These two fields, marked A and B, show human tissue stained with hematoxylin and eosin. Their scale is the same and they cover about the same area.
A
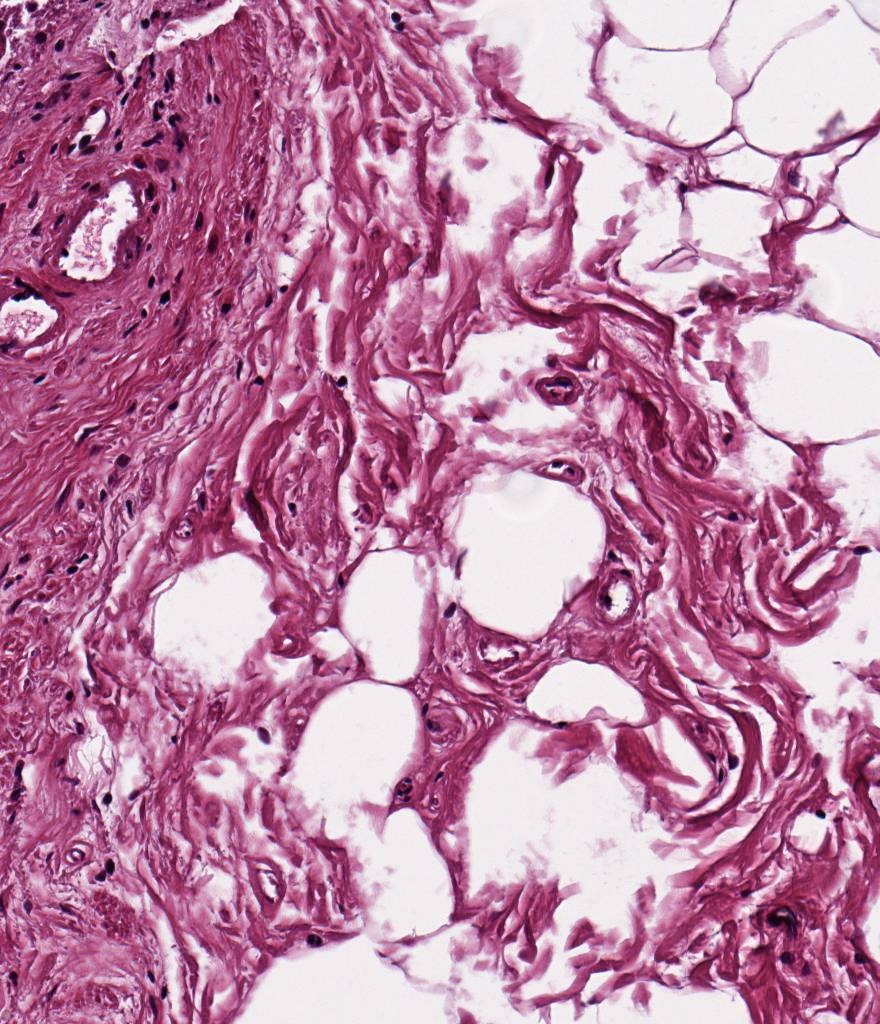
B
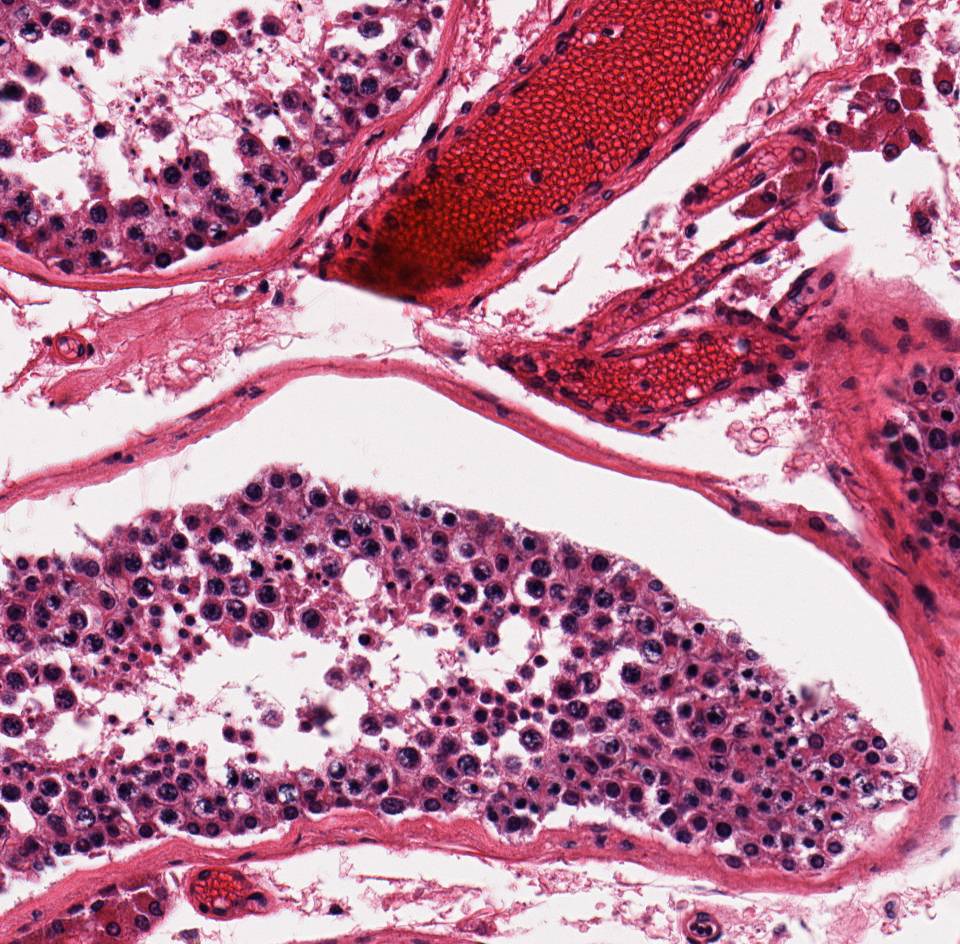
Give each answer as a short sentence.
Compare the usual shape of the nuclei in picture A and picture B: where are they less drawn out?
It is picture B whose nuclei are the rounder.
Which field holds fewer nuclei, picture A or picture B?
Picture A holds fewer nuclei than picture B.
